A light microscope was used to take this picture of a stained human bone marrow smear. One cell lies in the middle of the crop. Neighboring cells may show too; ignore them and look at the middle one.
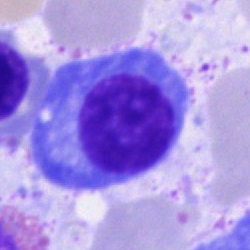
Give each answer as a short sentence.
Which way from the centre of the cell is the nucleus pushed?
It is shifted toward the right of the cell.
